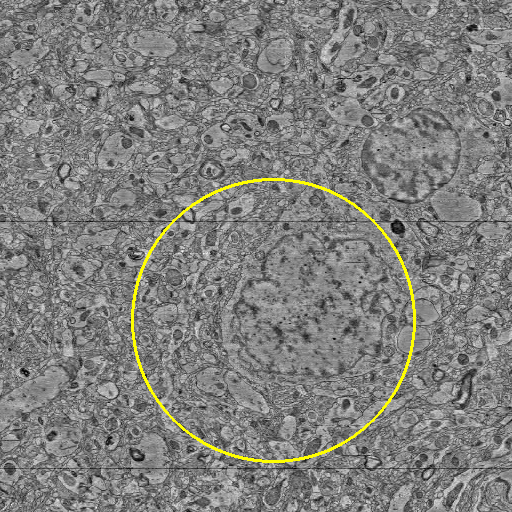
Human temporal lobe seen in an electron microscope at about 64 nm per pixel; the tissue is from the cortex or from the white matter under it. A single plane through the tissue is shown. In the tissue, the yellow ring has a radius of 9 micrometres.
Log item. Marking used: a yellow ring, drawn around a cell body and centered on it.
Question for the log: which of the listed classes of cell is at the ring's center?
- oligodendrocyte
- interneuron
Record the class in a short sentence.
At the center of the ring lies an interneuron.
